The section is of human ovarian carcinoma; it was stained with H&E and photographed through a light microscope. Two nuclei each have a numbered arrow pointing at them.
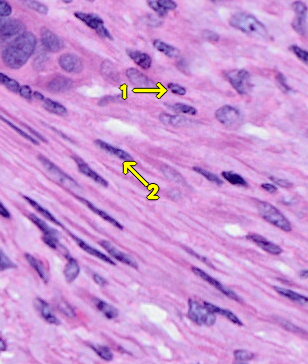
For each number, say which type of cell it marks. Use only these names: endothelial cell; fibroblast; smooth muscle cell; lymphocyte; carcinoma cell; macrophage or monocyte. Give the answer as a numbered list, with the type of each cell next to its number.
1. lymphocyte
2. fibroblast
